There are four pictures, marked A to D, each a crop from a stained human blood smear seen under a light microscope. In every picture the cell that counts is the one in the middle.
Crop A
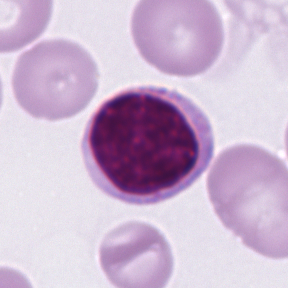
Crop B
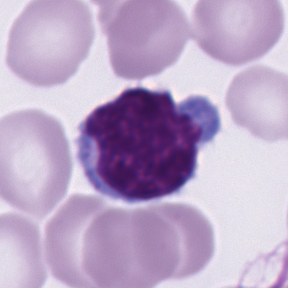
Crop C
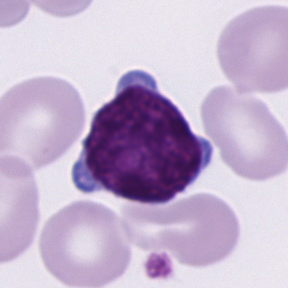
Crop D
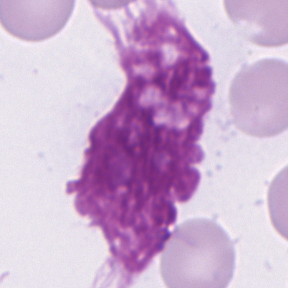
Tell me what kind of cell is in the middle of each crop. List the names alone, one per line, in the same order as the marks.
large granular lymphocyte
typical lymphocyte
typical lymphocyte
smudge cell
